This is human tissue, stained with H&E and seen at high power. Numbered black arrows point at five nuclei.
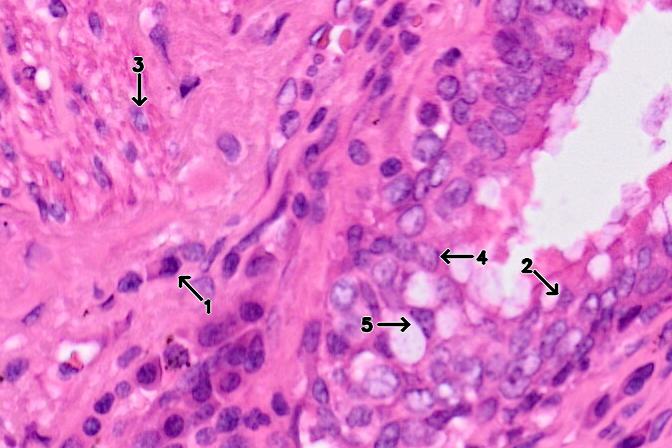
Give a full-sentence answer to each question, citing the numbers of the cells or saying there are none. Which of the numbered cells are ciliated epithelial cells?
Classified as ciliated epithelial cells are the cells numbered 2, 4 and 5.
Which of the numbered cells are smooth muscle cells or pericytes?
The numbered cell that is a smooth muscle cell or pericyte is cell 3, and it is the only one.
